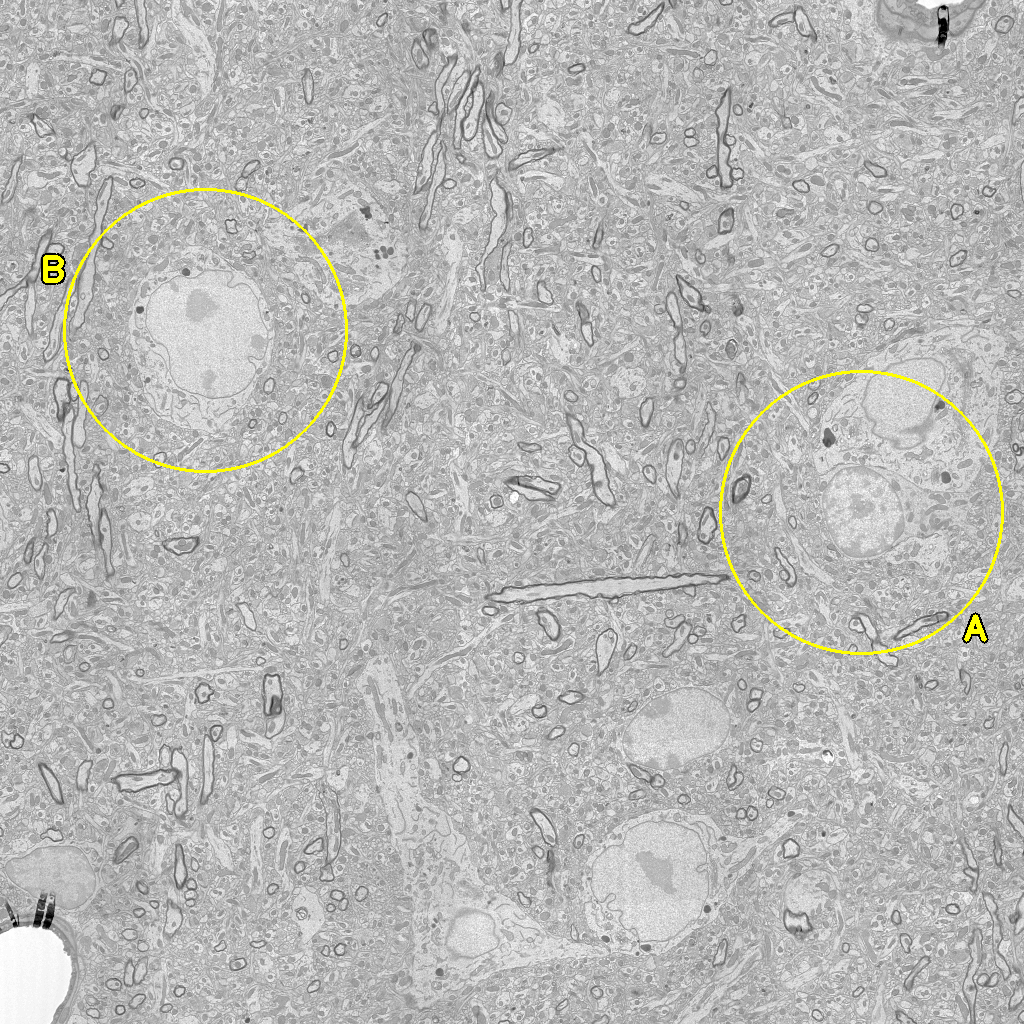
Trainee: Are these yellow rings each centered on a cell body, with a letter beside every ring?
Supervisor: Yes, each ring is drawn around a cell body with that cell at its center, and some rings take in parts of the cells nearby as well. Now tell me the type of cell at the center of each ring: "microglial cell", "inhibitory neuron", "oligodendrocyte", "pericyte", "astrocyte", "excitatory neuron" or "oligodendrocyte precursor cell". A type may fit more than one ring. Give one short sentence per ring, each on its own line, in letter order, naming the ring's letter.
Ring A has an oligodendrocyte at its center.
Ring B has an excitatory neuron at its center.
